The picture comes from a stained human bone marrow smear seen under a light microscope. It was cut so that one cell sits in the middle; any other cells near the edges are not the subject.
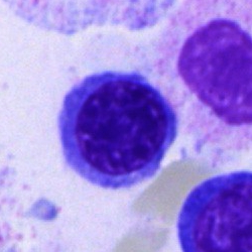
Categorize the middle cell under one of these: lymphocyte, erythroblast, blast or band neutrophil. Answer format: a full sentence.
Whatever else lies nearby, the middle cell is an erythroblast.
